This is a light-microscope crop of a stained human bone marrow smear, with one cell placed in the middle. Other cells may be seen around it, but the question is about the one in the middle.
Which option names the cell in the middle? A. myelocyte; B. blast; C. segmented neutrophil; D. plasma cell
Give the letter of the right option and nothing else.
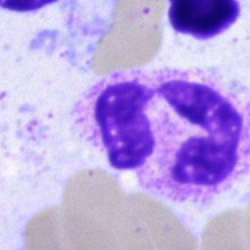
C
